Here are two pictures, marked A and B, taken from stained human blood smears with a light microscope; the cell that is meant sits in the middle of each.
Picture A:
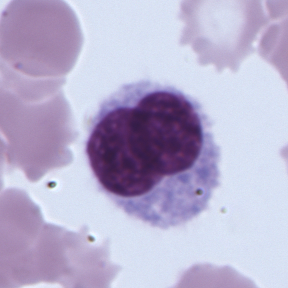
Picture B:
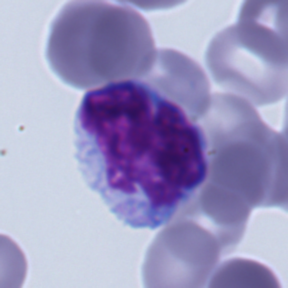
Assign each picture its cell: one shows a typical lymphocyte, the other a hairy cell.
A: hairy cell
B: typical lymphocyte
